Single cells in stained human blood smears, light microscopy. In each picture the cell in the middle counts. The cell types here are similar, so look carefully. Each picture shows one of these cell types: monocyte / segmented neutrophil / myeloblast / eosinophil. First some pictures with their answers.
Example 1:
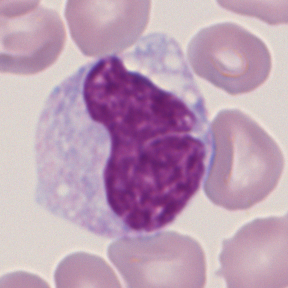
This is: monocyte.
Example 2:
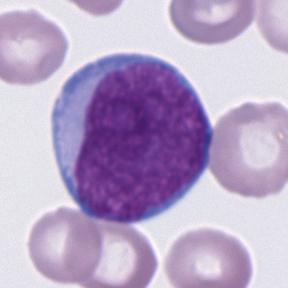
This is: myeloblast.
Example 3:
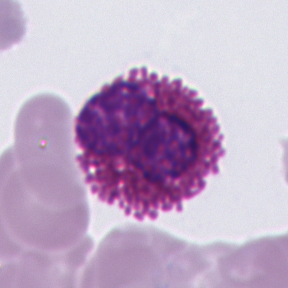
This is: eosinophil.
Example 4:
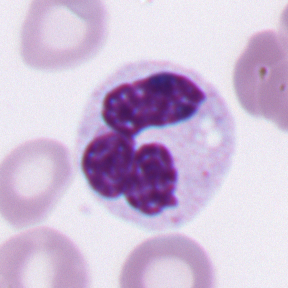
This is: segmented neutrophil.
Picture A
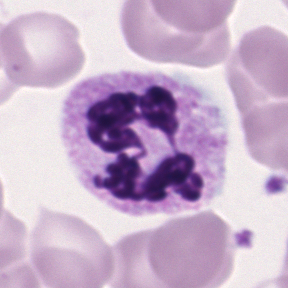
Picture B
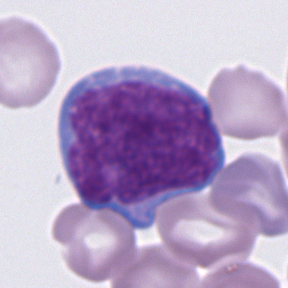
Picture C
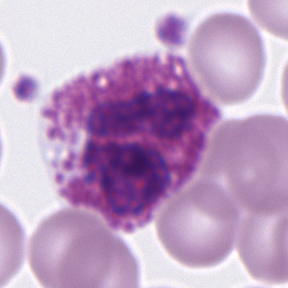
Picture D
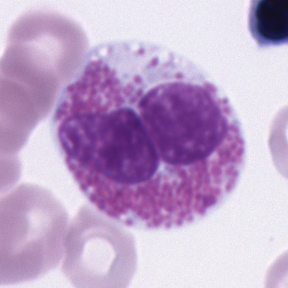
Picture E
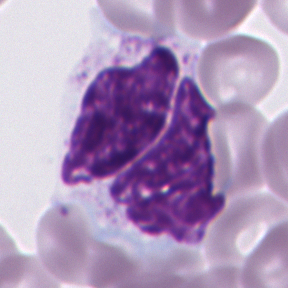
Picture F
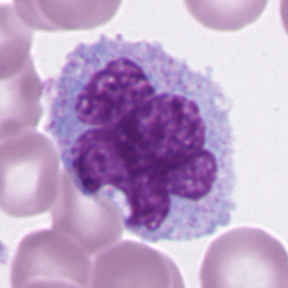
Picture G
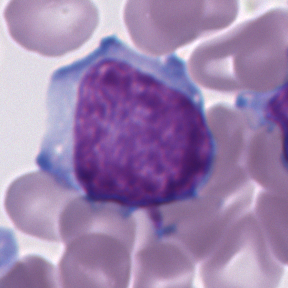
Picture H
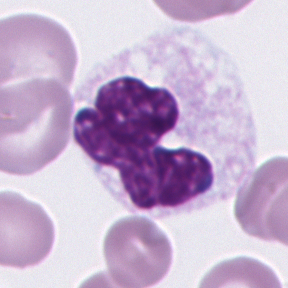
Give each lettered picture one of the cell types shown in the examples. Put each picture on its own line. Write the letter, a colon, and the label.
A: segmented neutrophil.
B: myeloblast.
C: eosinophil.
D: eosinophil.
E: segmented neutrophil.
F: monocyte.
G: myeloblast.
H: segmented neutrophil.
